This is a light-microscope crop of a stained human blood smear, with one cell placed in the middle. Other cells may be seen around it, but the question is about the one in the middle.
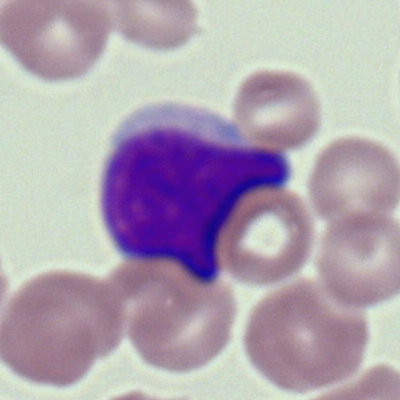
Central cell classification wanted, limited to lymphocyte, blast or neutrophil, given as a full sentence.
The cell in the middle of this crop is a blast.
